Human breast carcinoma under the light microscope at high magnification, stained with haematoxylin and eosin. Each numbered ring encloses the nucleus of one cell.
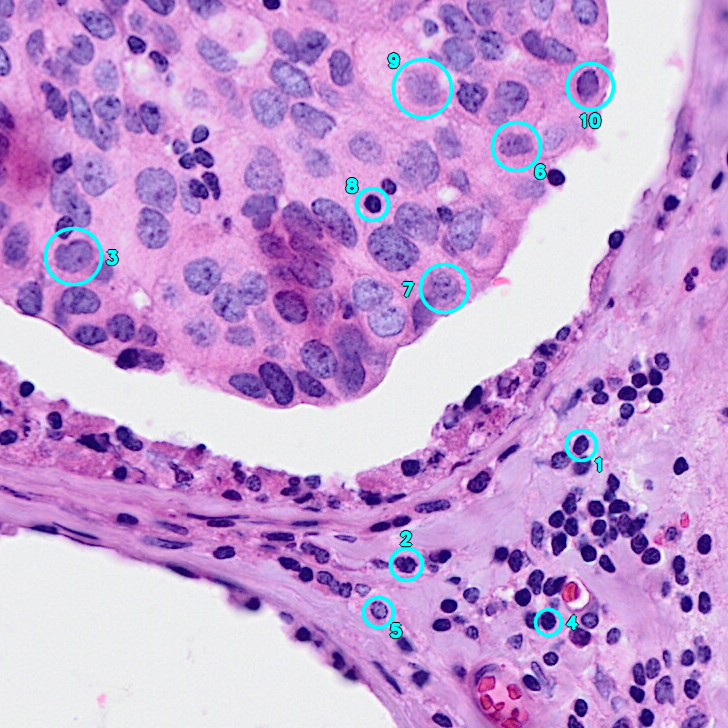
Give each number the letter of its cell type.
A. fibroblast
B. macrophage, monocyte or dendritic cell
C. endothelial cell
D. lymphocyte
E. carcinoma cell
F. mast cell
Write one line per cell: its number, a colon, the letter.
1: D
2: D
3: E
4: D
5: F
6: E
7: E
8: D
9: E
10: E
